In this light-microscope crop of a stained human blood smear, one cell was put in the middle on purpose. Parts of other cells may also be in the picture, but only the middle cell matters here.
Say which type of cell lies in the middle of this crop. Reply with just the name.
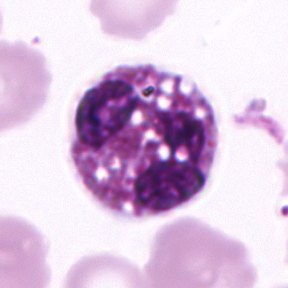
eosinophil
